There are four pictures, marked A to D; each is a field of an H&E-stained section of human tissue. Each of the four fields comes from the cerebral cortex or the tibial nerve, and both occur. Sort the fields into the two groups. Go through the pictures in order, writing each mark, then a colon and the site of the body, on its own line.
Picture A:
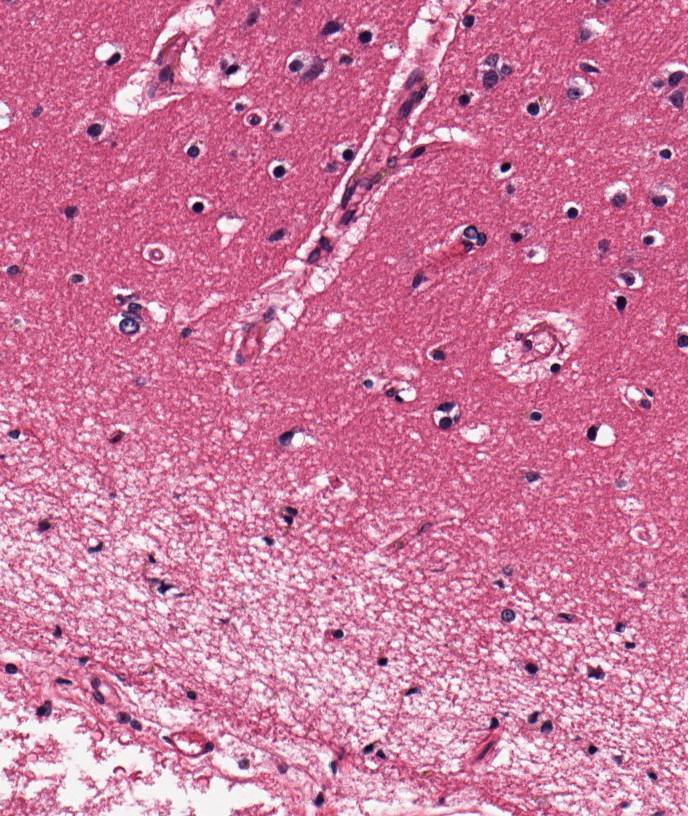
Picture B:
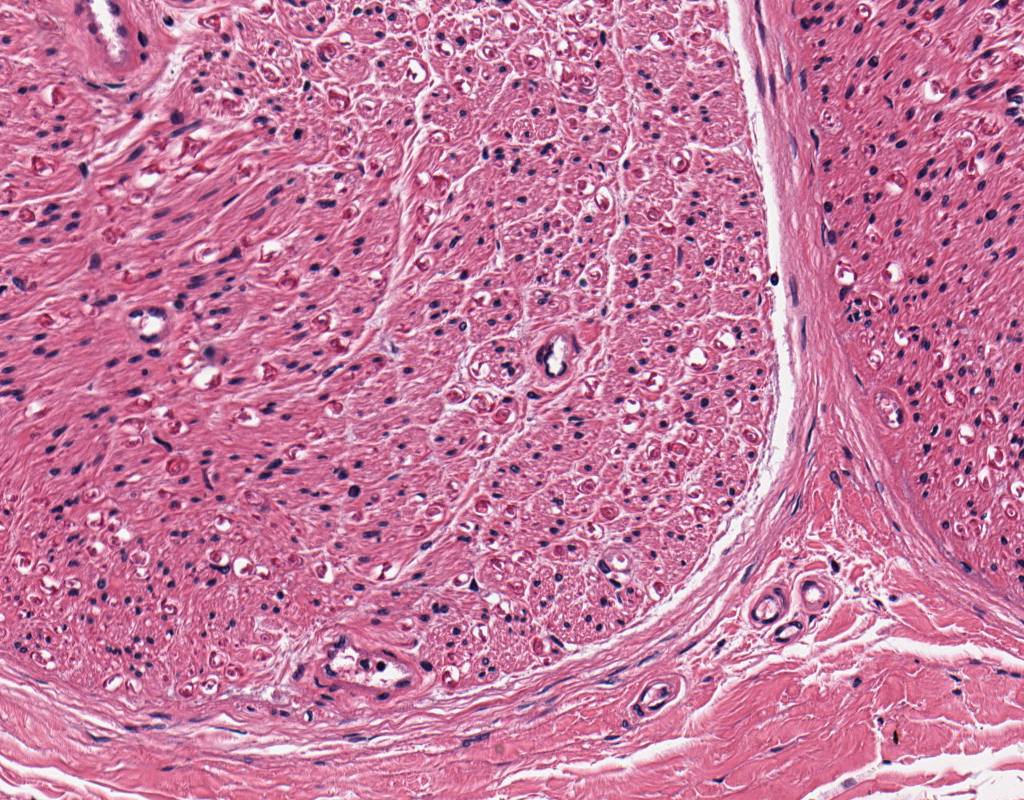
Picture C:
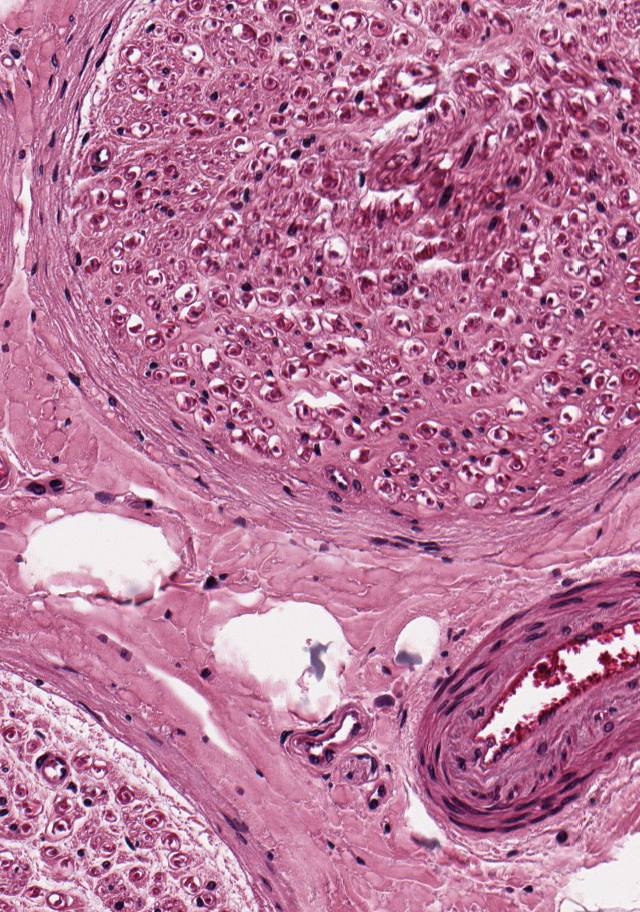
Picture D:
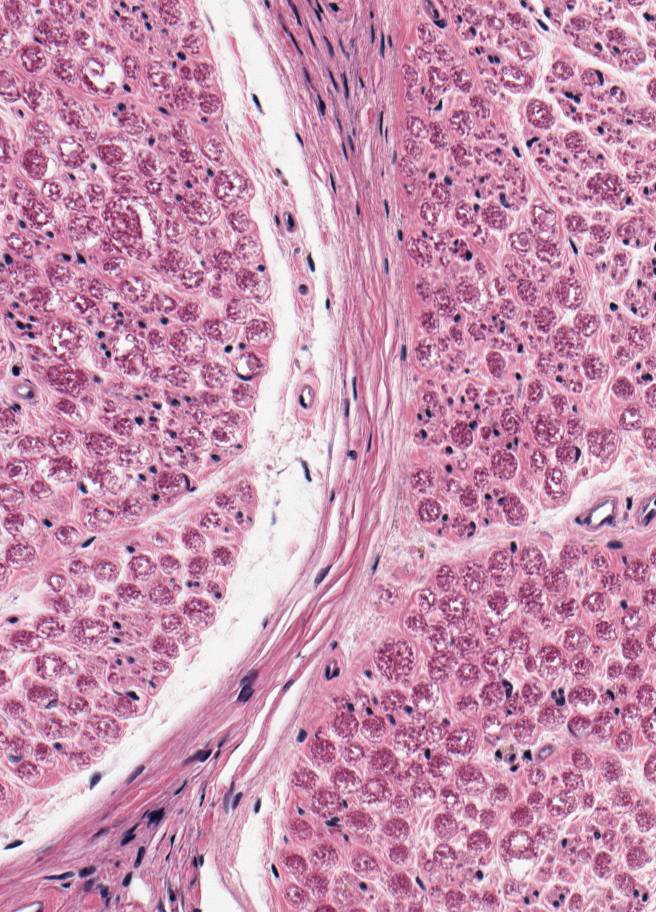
A: cerebral cortex
B: tibial nerve
C: tibial nerve
D: tibial nerve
